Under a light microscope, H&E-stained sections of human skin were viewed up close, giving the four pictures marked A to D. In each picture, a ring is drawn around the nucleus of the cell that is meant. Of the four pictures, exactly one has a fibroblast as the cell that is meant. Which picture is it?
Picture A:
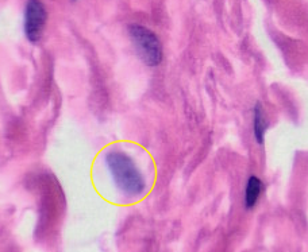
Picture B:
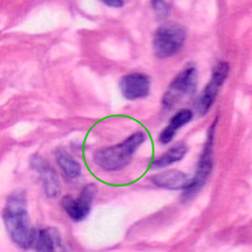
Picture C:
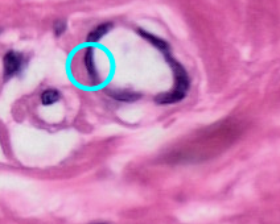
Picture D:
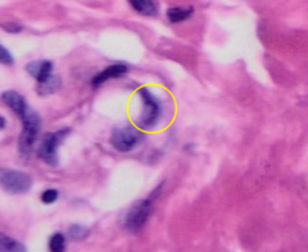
A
